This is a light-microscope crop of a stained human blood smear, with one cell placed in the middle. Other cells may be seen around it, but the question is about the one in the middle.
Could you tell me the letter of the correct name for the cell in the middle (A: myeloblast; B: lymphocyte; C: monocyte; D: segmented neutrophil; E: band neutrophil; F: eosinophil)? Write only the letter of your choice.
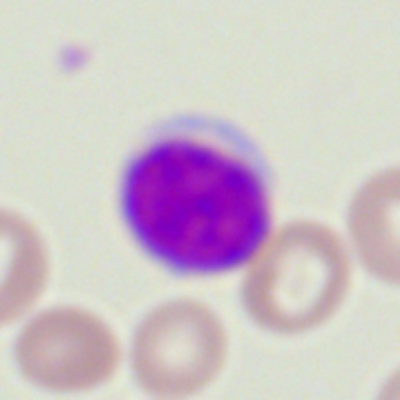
B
